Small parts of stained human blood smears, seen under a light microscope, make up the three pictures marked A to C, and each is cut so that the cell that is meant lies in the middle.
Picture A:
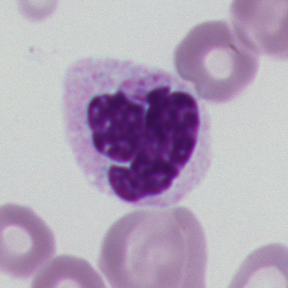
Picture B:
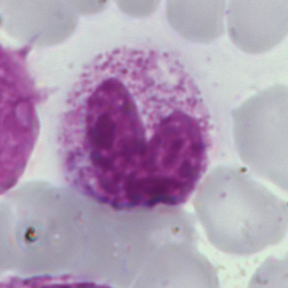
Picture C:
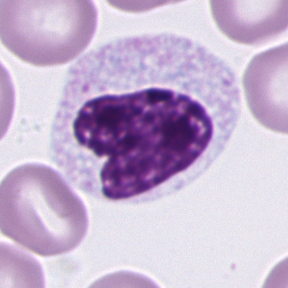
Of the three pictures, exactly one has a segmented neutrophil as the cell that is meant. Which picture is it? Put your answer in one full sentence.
It is picture A that shows the segmented neutrophil.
